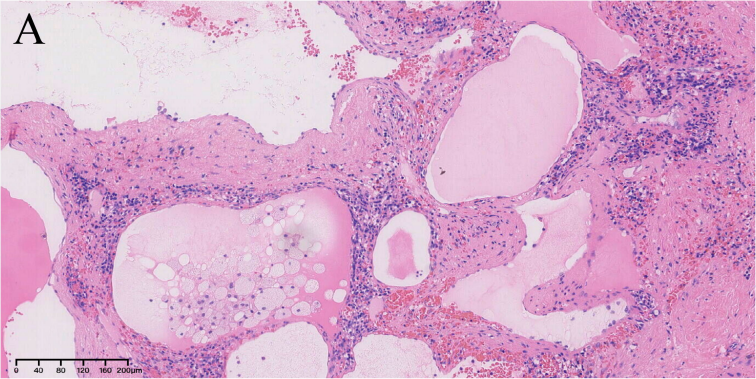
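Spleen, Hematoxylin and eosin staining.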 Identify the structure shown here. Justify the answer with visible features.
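Several spaces contain homogeneous pink material. On this evidence: cystic cavities.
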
